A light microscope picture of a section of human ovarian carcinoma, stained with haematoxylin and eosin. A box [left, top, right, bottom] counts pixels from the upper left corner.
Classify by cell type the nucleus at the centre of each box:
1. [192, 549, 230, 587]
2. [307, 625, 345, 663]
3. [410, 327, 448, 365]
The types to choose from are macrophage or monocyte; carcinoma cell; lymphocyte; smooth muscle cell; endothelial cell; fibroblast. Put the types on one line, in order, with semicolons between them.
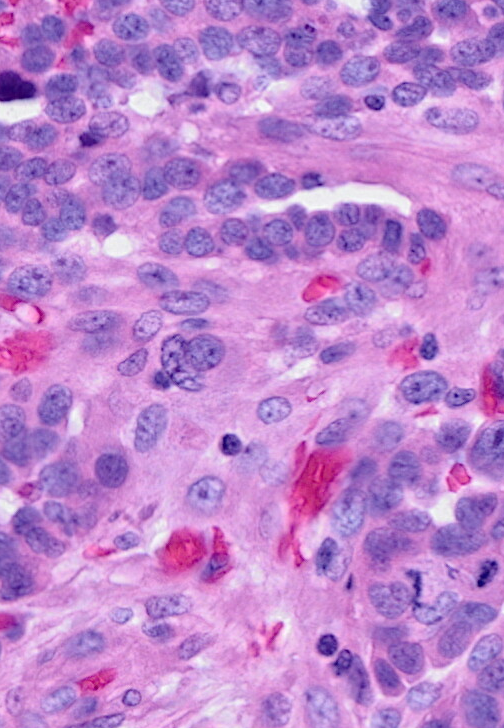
endothelial cell; lymphocyte; lymphocyte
